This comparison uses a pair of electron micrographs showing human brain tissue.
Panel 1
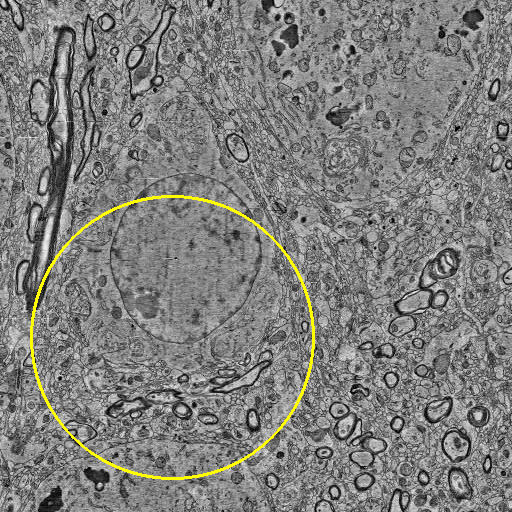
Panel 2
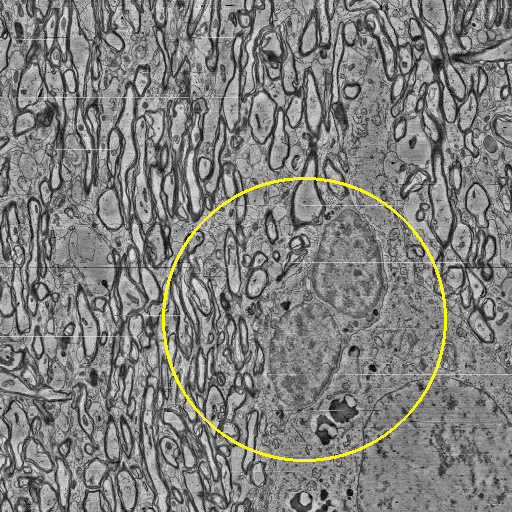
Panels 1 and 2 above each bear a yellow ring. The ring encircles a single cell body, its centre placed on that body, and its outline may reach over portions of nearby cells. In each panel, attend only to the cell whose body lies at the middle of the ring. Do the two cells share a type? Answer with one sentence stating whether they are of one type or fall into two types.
In Panel 1 and Panel 2, the cells at the centres of the rings fall into two types.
